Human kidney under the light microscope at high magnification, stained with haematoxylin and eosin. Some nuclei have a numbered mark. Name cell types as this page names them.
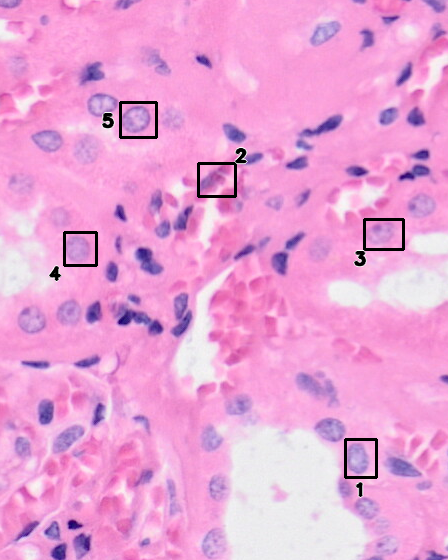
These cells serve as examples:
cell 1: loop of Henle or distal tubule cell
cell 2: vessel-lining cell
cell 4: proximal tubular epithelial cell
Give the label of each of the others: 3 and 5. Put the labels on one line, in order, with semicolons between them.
proximal tubular epithelial cell; proximal tubular epithelial cell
